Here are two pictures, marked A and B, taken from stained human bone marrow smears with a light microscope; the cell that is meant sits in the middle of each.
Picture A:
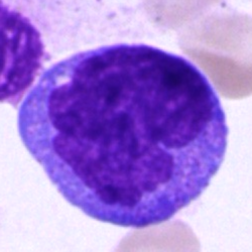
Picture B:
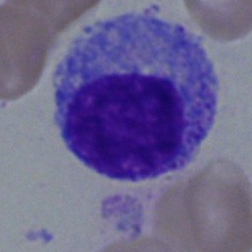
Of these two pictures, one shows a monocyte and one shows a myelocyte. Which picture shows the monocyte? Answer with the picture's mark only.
A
